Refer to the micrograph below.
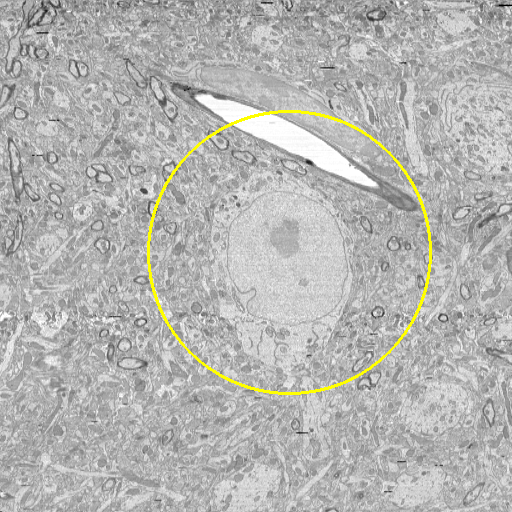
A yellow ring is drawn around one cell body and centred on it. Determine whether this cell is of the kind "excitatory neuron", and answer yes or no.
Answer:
yes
